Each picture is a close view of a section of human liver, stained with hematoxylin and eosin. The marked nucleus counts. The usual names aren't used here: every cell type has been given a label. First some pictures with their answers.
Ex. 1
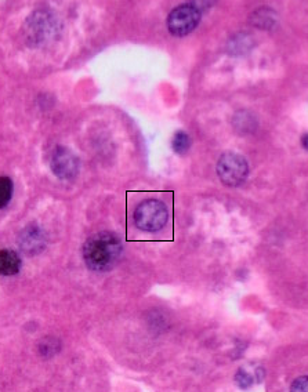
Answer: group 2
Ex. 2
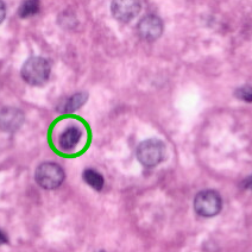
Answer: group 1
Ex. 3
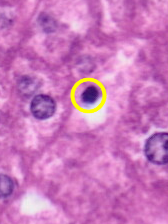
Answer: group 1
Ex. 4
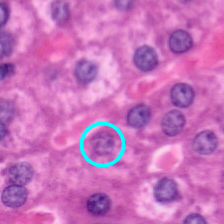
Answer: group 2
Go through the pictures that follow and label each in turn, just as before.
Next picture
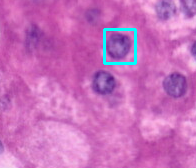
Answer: group 2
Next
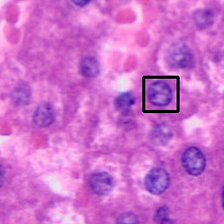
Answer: group 2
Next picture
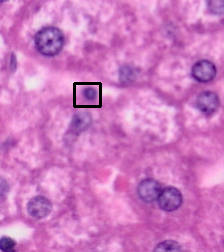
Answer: group 1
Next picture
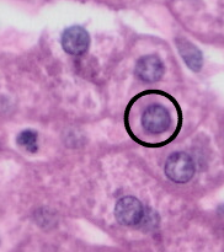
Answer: group 2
